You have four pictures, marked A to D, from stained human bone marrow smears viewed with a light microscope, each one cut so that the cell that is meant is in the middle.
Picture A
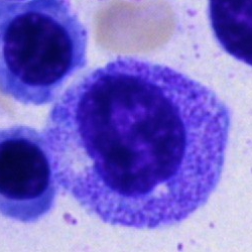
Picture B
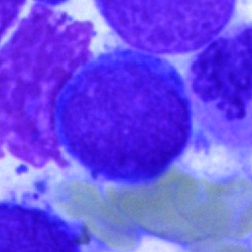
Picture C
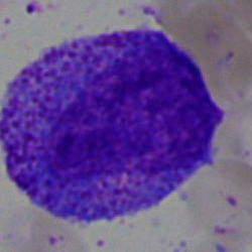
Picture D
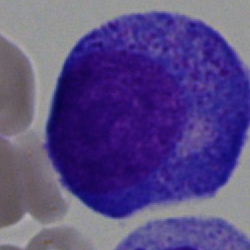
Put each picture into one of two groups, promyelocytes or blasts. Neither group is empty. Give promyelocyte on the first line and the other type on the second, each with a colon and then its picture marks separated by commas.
promyelocyte: A, C, D
blast: B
